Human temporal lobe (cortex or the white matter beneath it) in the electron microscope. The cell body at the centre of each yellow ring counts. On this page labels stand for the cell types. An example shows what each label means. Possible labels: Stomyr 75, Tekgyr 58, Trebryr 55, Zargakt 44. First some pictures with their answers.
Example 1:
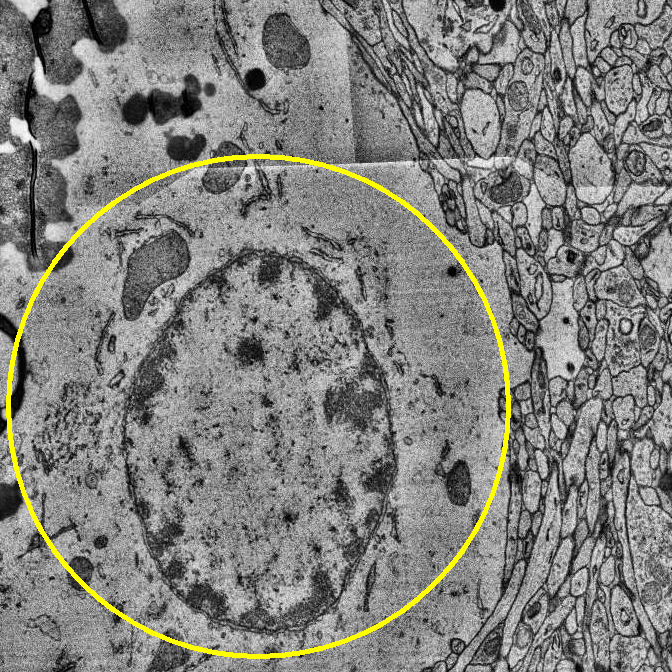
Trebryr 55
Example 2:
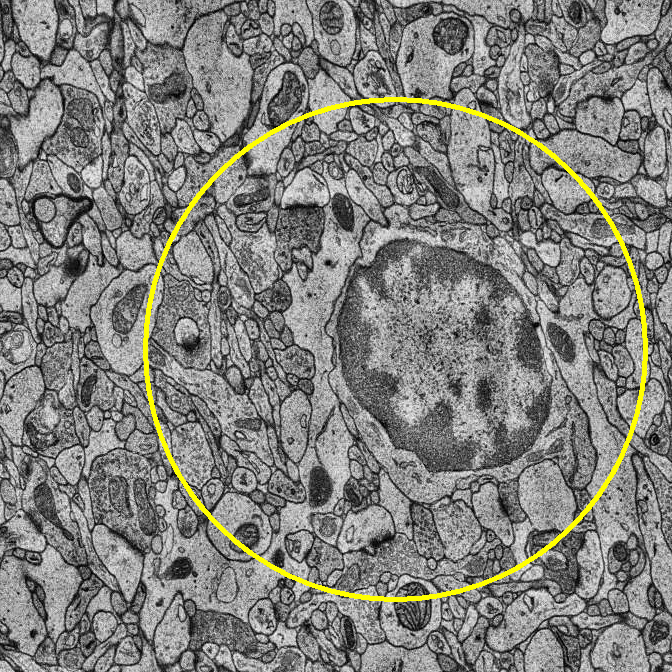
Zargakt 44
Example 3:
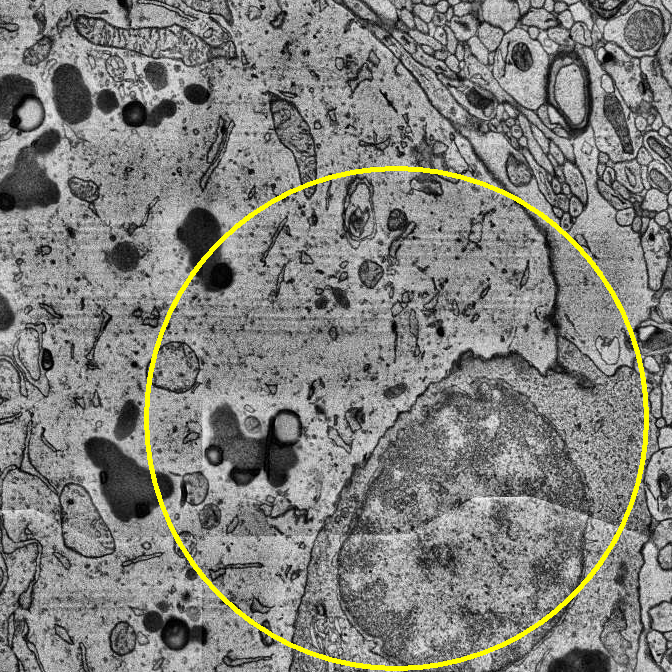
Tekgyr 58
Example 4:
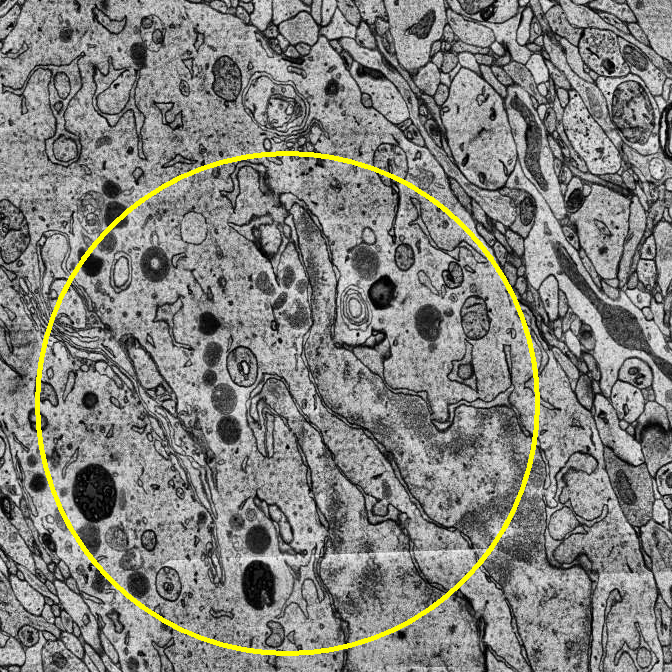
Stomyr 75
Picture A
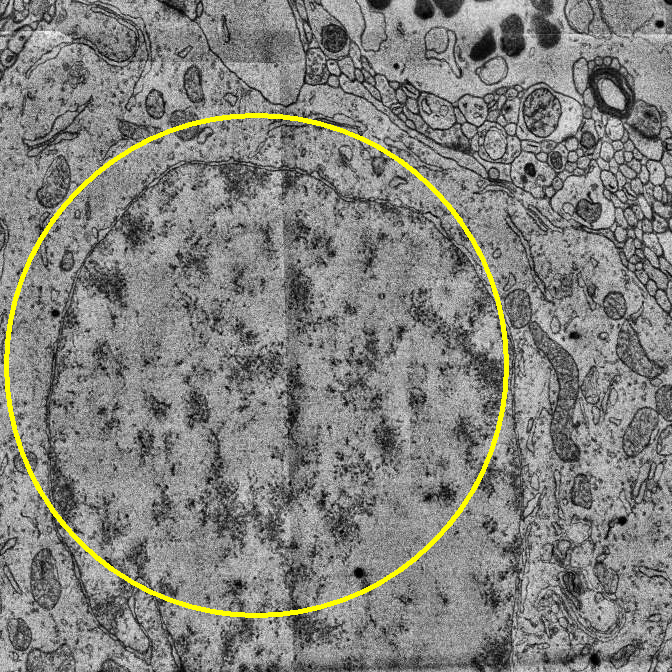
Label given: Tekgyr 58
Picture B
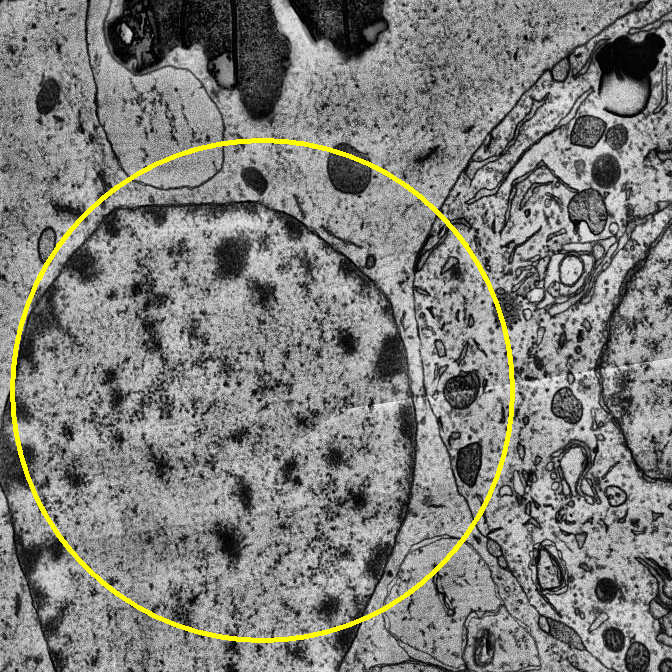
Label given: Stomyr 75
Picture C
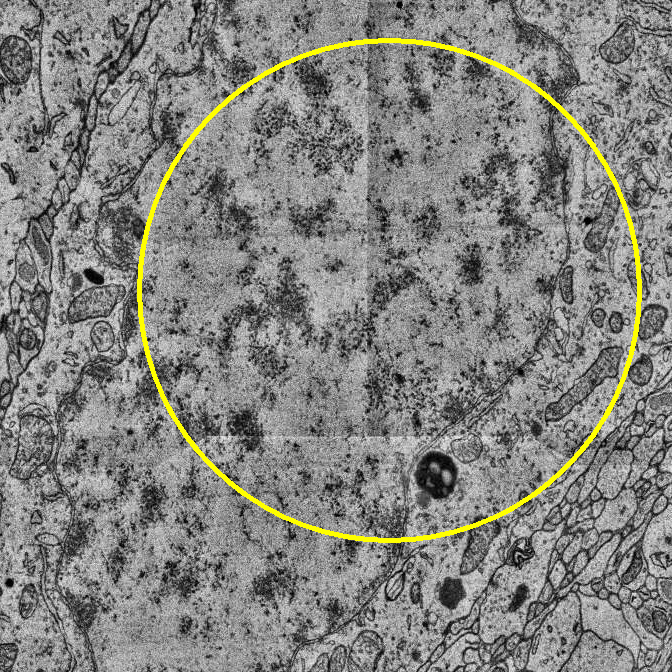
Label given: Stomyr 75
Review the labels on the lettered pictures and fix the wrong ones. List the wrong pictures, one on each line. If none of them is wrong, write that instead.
A: change Tekgyr 58 to Stomyr 75
B: change Stomyr 75 to Trebryr 55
